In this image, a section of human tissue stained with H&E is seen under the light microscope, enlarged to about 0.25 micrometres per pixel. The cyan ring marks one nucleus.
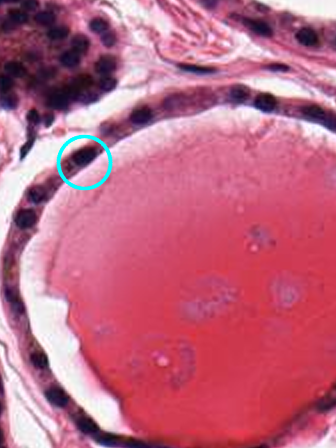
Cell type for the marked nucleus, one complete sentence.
The marked nucleus is recognized as the nucleus of a thyroid follicular cell.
